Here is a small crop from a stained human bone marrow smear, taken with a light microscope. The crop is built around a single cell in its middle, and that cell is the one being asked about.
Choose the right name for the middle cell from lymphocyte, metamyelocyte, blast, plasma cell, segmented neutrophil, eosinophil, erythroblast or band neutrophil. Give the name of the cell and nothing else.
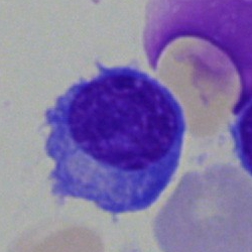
plasma cell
